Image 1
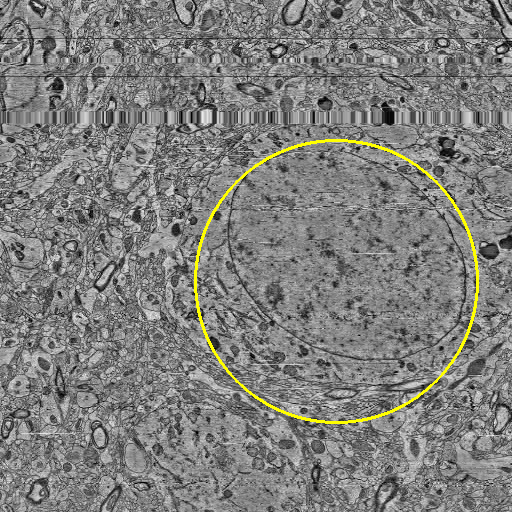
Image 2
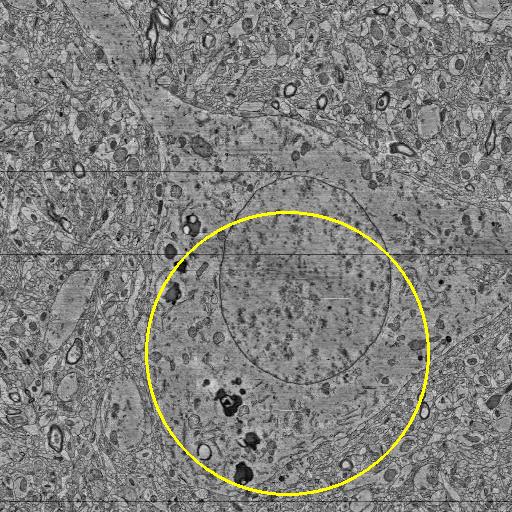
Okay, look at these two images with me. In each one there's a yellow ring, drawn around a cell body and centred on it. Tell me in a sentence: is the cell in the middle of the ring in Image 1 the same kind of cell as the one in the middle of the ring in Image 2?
Yes, they're the same kind of cell.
